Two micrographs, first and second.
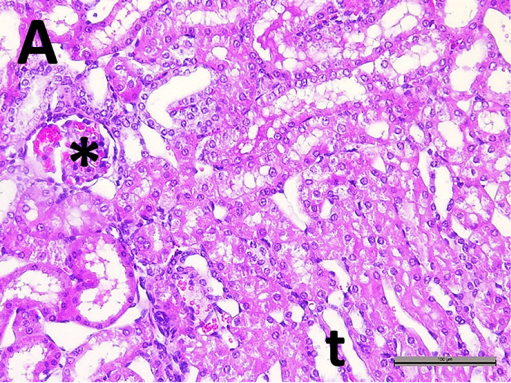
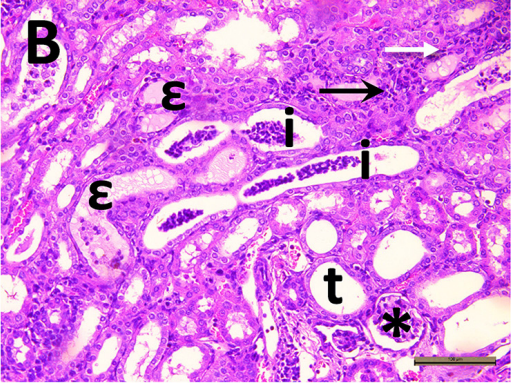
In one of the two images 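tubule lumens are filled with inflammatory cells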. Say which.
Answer: The second image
